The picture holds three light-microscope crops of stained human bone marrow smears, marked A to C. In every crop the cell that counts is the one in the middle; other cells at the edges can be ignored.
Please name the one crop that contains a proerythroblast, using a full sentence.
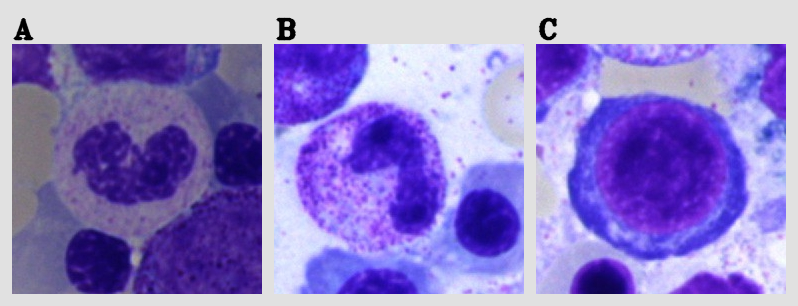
Crop C is the one in this set that shows a proerythroblast.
